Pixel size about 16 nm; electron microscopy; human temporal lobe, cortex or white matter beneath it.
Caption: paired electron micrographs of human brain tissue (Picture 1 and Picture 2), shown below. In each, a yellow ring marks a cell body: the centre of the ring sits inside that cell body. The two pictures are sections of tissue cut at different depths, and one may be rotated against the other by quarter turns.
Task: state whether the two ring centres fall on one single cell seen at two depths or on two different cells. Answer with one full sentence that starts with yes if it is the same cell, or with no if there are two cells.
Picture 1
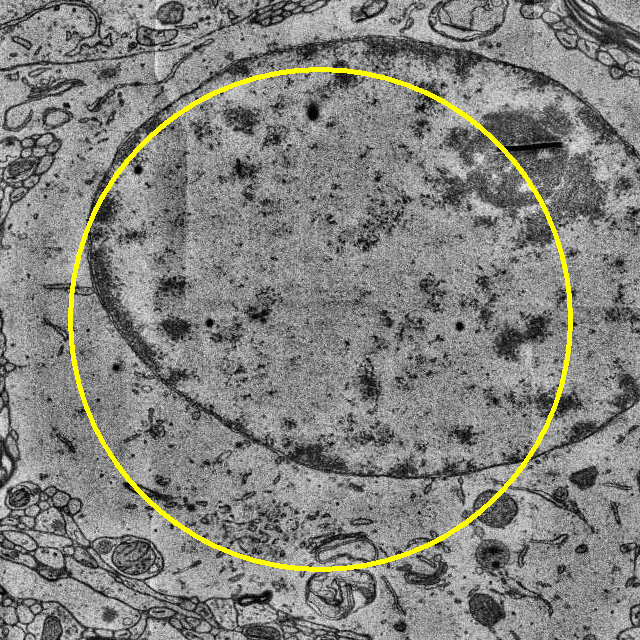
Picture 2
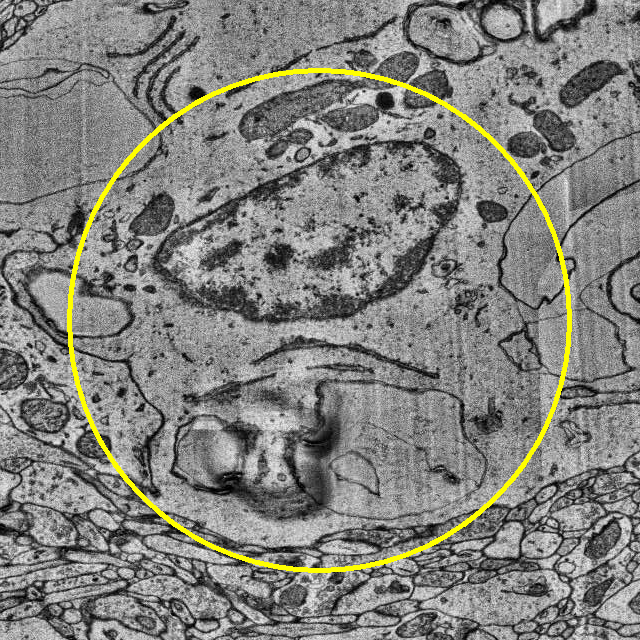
No, the two rings mark two different cells.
